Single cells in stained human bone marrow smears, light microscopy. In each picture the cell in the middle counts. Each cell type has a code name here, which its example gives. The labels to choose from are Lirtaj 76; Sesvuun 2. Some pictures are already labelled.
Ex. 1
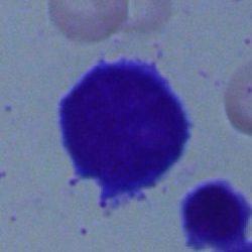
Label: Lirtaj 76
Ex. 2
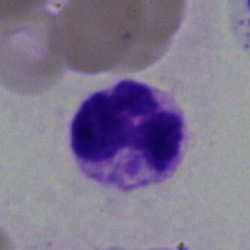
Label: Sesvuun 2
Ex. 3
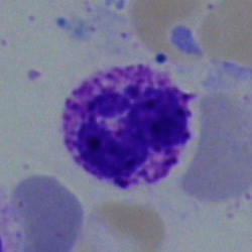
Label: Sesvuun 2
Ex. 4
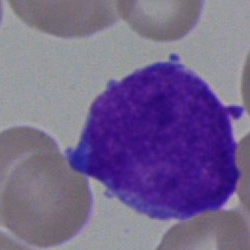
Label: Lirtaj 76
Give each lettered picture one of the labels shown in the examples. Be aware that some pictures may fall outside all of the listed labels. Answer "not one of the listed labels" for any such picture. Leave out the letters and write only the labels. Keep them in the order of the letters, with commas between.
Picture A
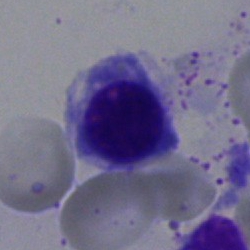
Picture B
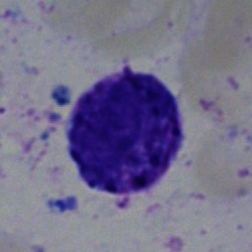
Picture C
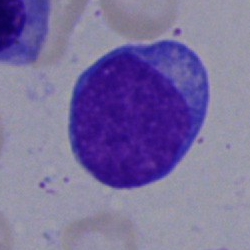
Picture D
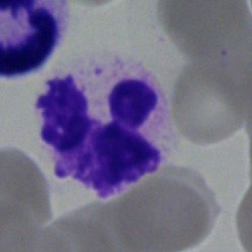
not one of the listed labels, Sesvuun 2, Lirtaj 76, Sesvuun 2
